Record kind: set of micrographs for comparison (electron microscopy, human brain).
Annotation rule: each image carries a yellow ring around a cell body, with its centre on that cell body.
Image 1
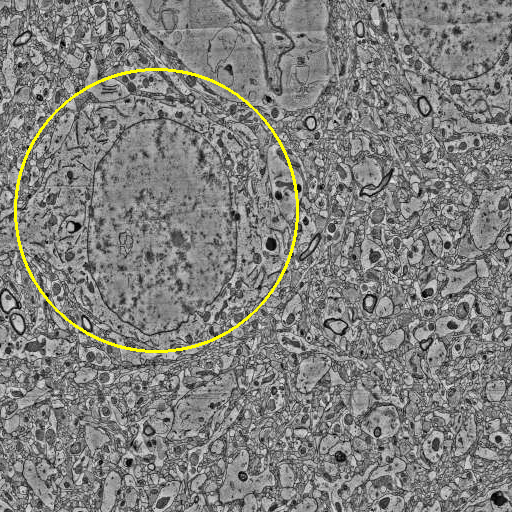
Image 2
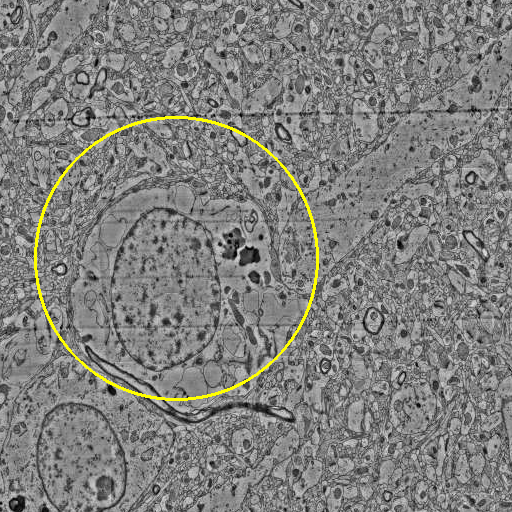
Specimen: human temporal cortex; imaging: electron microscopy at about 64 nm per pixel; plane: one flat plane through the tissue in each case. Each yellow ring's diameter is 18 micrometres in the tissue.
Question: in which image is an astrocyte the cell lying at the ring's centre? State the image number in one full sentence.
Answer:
In image 2, the ring is centred on the cell in question.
